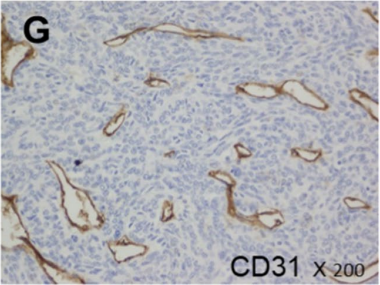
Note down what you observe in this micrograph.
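Tumour tissue crossed by many small blood vessels, seen as thin-walled channels whose linings are stained brown. The channels are irregular, elongated, branching or slit-like, most with empty pale lumens, and lie scattered densely through the section. Between them the tumour cells form packed sheets. Their nuclei are oval and pale blue from the counterstain. Their cytoplasm is scant and pale. None of the tumour cells carries brown stain. The brown is confined to the thin linings of the vessel channels, which stand out sharply against the blue background.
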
